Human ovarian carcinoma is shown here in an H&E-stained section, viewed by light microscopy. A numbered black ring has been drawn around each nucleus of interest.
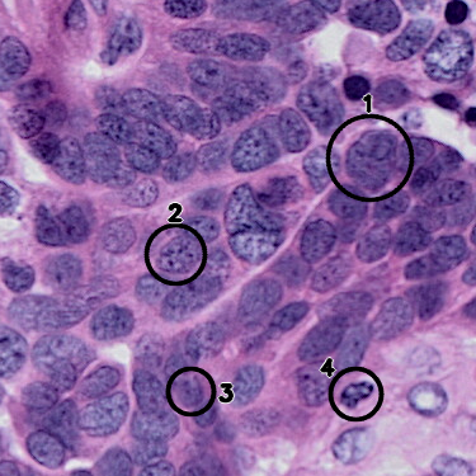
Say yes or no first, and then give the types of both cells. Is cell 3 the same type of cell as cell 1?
Yes, both are carcinoma cells.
